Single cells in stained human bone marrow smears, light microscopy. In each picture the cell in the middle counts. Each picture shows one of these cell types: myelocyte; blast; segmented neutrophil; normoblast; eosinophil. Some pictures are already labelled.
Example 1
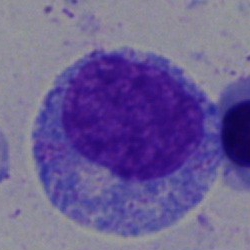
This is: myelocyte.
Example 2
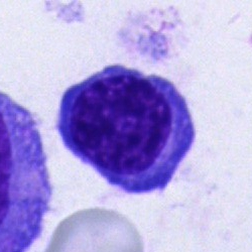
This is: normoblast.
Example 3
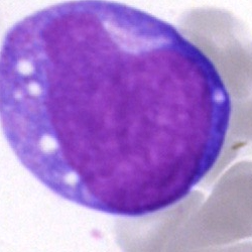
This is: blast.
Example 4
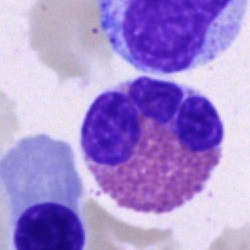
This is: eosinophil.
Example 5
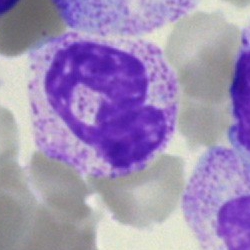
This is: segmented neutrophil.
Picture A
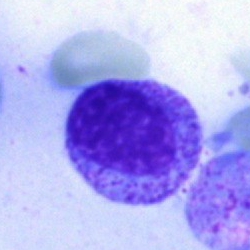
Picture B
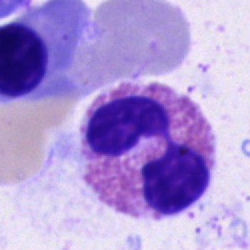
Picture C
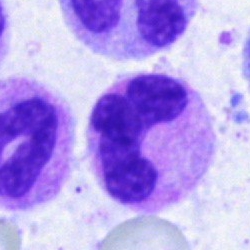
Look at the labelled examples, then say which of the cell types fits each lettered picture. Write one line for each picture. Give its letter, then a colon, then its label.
A: myelocyte.
B: eosinophil.
C: segmented neutrophil.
